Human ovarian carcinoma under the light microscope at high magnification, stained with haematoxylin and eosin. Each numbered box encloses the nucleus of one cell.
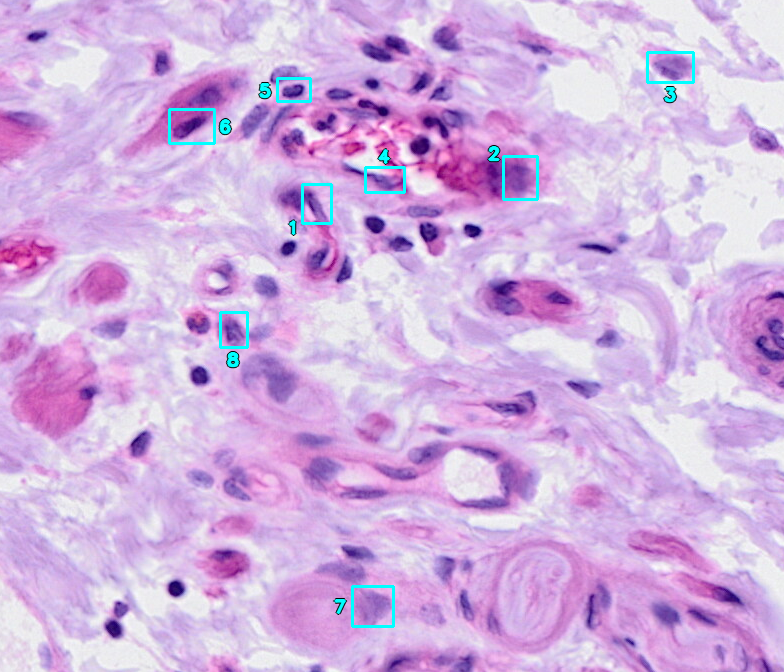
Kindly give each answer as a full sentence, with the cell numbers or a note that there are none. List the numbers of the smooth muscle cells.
Exactly one numbered cell is a smooth muscle cell, and that cell is number 6.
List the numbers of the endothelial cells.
The cells with the numbers 1, 2, 4 and 8 are endothelial cells.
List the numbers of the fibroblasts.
The cells that the numbers 3 and 7 belong to are fibroblasts.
